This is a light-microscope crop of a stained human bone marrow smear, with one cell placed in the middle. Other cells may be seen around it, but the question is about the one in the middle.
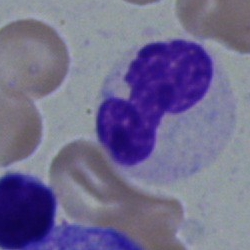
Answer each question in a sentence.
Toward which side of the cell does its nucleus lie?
It is shifted toward the upper left of the cell.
